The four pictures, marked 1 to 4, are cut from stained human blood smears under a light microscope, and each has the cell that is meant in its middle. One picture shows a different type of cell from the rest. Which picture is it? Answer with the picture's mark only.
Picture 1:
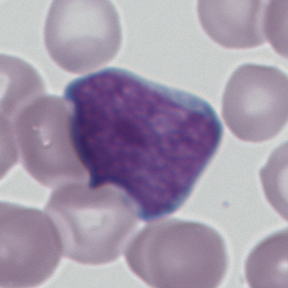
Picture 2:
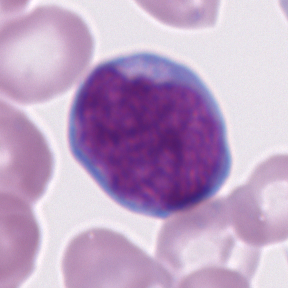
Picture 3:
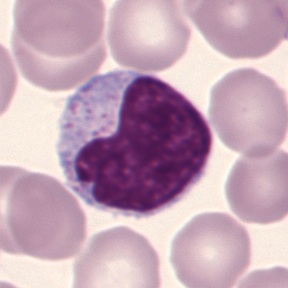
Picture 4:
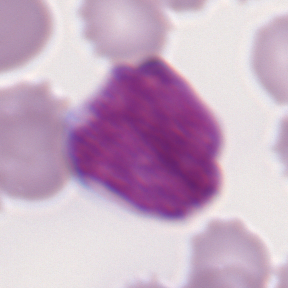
3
